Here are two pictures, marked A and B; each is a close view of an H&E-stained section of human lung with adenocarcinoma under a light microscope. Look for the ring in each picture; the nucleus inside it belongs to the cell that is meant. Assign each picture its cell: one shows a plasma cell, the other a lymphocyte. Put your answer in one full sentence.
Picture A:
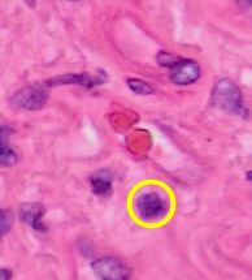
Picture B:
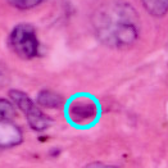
Picture B shows a plasma cell, while picture A shows a lymphocyte.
